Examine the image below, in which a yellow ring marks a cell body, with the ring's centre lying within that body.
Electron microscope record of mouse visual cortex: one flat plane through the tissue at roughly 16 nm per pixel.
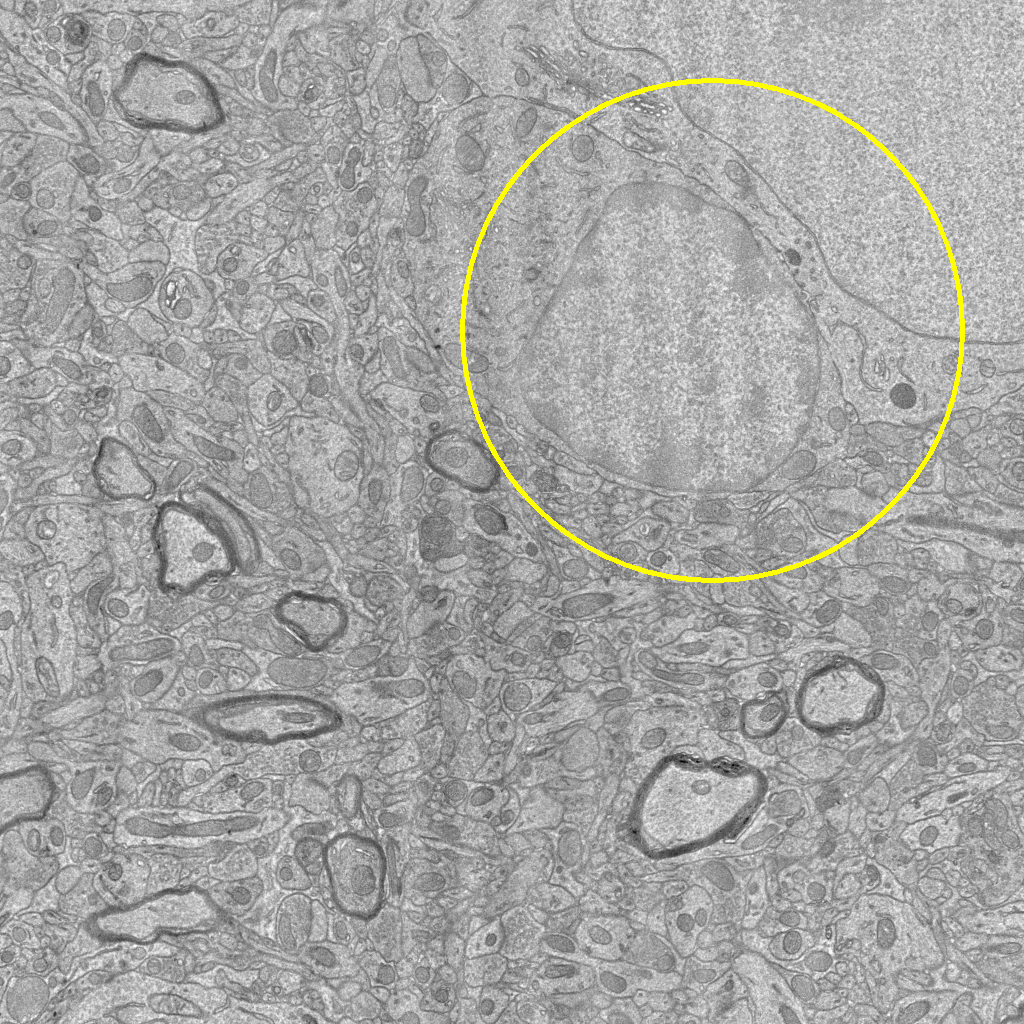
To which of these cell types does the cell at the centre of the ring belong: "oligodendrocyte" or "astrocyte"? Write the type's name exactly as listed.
oligodendrocyte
